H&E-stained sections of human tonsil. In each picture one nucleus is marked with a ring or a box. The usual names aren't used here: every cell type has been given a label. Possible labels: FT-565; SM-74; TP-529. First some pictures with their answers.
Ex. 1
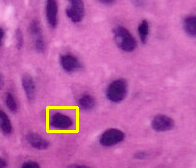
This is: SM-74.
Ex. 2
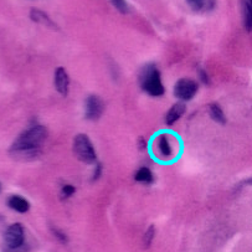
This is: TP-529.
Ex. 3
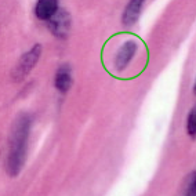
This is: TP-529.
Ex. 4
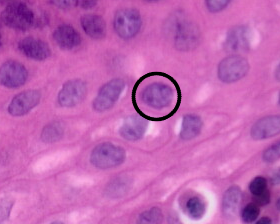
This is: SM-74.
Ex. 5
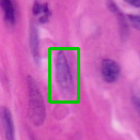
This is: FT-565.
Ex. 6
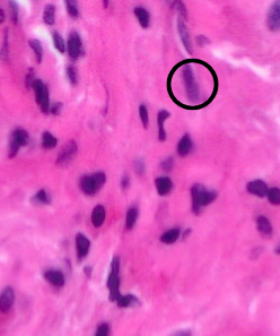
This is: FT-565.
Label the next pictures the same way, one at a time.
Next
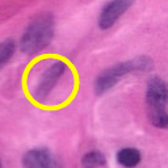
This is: FT-565.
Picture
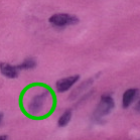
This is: FT-565.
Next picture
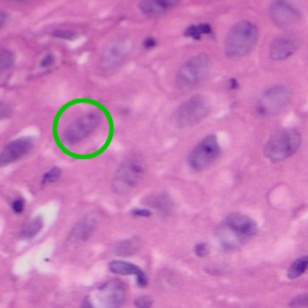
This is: SM-74.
